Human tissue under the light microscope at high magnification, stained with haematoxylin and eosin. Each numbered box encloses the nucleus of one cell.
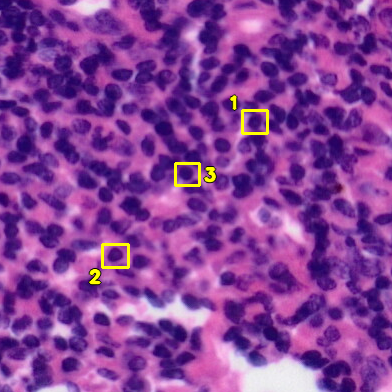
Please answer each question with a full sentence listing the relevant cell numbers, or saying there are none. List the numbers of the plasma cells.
A single numbered cell, cell 2, is a plasma cell.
